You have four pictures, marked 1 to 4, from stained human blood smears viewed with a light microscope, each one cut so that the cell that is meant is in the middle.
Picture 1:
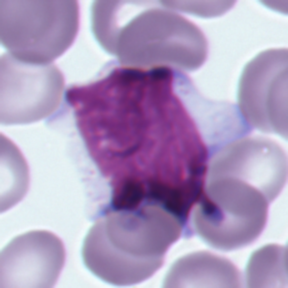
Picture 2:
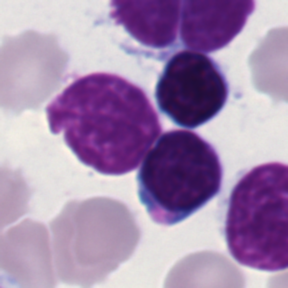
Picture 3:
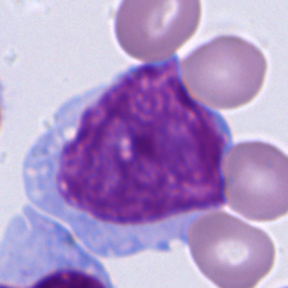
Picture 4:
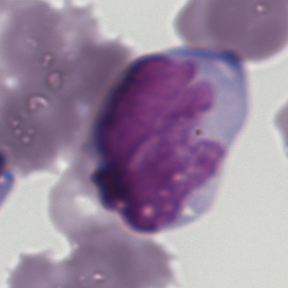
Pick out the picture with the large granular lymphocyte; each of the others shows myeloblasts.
1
